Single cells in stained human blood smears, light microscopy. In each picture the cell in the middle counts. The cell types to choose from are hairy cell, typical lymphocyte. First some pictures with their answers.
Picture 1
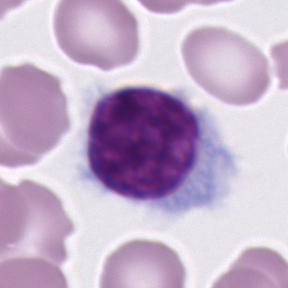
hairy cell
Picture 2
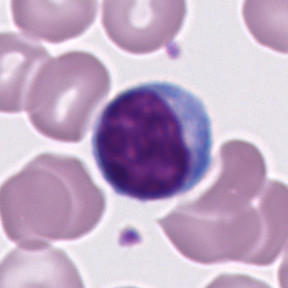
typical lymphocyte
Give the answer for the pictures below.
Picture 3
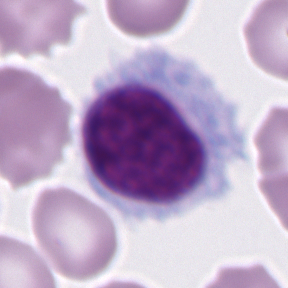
hairy cell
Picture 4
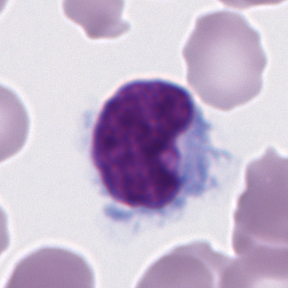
hairy cell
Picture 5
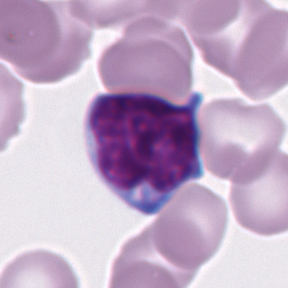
typical lymphocyte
